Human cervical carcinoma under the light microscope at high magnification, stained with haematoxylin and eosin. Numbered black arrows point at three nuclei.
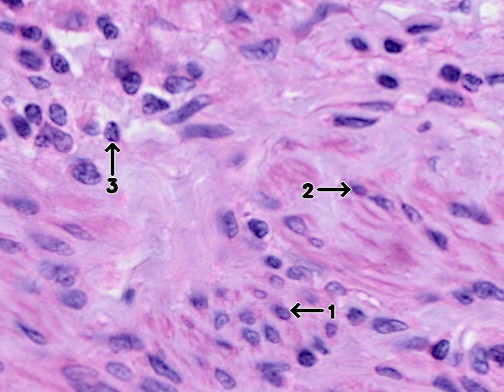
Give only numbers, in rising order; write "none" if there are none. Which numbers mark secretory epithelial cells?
none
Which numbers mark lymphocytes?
3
